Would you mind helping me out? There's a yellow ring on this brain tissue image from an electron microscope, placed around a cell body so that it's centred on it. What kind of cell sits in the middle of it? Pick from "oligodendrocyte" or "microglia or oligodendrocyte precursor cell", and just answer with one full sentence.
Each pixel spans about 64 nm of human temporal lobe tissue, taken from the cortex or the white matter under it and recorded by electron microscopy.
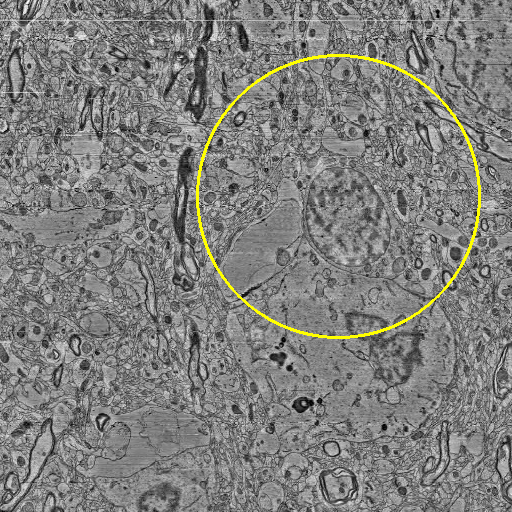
What sits in the middle of that yellow ring is an oligodendrocyte, from your choices.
